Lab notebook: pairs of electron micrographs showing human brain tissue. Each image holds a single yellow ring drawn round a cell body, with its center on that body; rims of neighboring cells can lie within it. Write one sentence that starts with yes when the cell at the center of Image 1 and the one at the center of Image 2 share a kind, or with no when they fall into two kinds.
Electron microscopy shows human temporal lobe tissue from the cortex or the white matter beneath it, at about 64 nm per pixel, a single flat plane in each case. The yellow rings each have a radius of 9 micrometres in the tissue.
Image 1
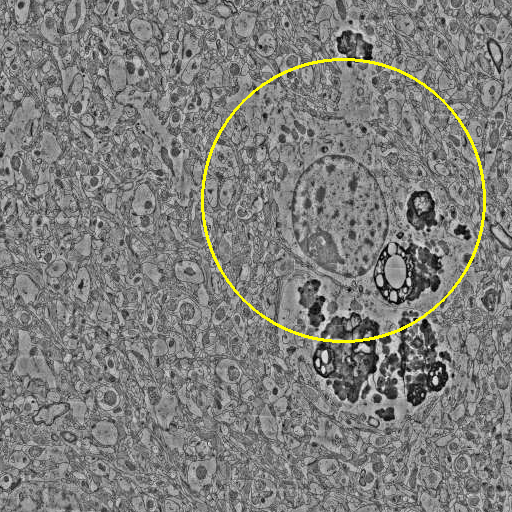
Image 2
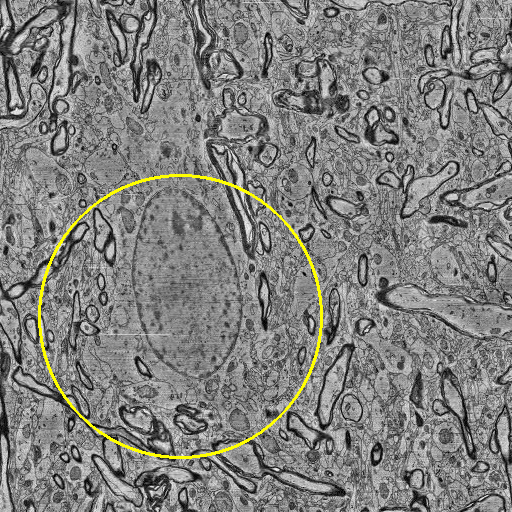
Yes, the centered cell in Image 1 and the centered cell in Image 2 are of one kind.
